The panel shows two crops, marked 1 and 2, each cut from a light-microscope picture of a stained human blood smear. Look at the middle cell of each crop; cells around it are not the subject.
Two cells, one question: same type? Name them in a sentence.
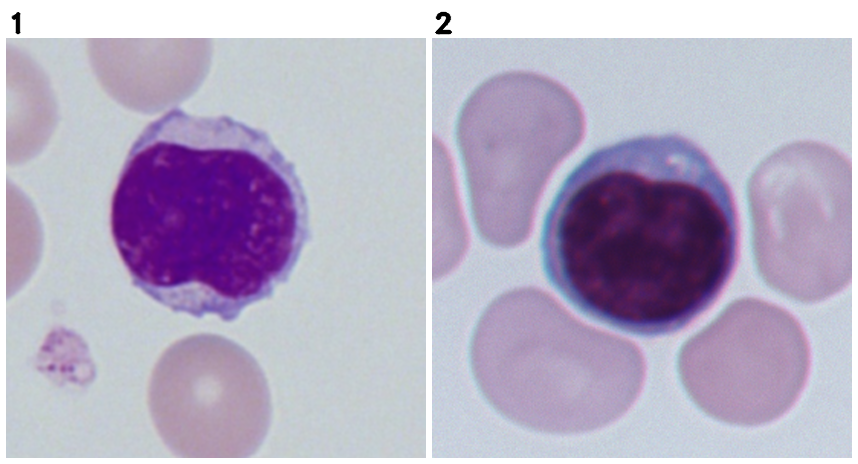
Yes, both crops have lymphocytes at the centre.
